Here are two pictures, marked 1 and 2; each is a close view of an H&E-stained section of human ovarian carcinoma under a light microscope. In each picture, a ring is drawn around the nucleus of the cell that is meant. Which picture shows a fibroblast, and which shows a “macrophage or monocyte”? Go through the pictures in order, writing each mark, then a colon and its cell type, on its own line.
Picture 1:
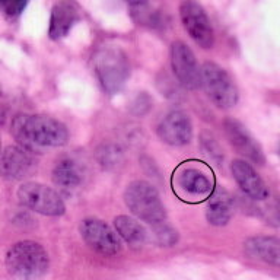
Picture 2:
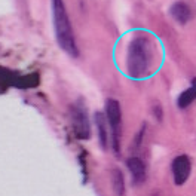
1: macrophage or monocyte
2: fibroblast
